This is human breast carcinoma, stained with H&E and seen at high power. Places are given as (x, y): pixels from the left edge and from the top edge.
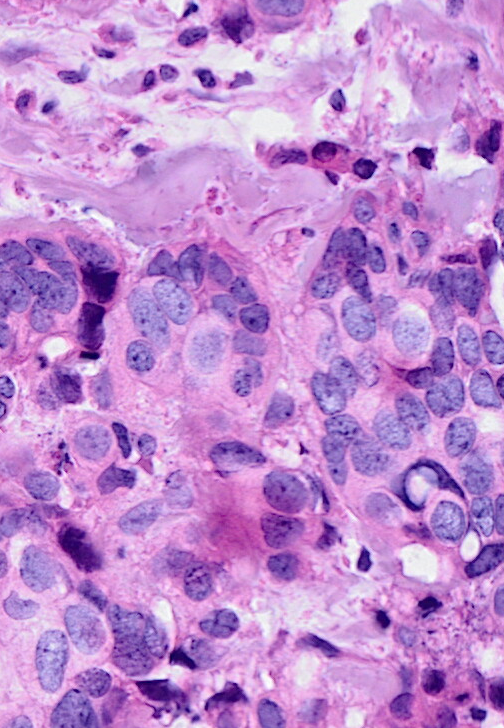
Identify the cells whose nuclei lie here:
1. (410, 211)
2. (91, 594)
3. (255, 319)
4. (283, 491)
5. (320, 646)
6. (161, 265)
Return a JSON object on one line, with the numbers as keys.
{"1": "endothelial cell", "2": "carcinoma cell", "3": "carcinoma cell", "4": "carcinoma cell", "5": "fibroblast", "6": "carcinoma cell"}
